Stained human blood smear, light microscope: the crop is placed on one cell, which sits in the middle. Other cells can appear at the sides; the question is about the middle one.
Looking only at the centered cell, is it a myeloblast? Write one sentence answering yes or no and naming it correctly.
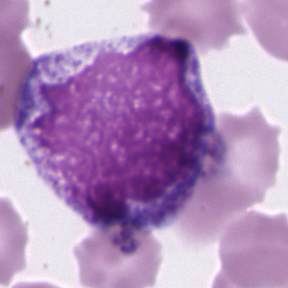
No, the cell in the middle is recognised as a promyelocyte rather than a myeloblast.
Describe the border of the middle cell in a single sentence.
The cell membrane follows an uneven contour, either ragged or bearing projections.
